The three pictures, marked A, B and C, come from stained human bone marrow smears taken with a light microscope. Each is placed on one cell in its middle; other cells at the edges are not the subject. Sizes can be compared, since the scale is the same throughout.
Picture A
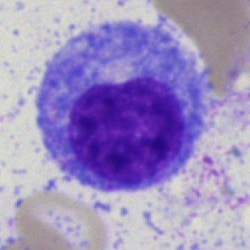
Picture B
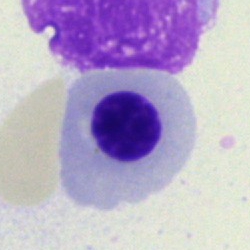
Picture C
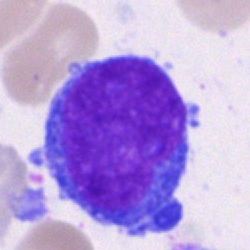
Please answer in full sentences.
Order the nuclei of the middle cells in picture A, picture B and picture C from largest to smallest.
Going down, they run C, A, B.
